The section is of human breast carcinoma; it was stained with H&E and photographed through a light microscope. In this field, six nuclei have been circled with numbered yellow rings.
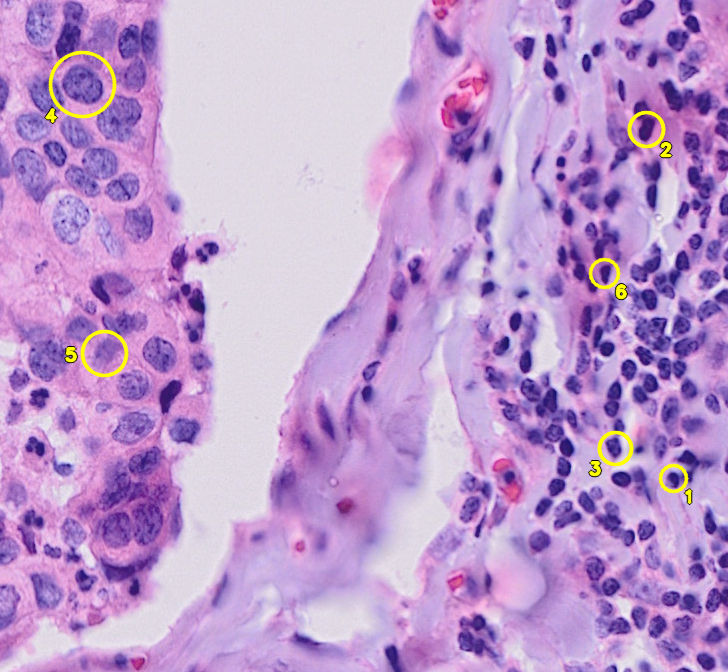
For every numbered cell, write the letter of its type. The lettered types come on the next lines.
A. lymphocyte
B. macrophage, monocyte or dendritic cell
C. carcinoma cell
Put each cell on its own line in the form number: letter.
1: A
2: A
3: A
4: C
5: C
6: A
